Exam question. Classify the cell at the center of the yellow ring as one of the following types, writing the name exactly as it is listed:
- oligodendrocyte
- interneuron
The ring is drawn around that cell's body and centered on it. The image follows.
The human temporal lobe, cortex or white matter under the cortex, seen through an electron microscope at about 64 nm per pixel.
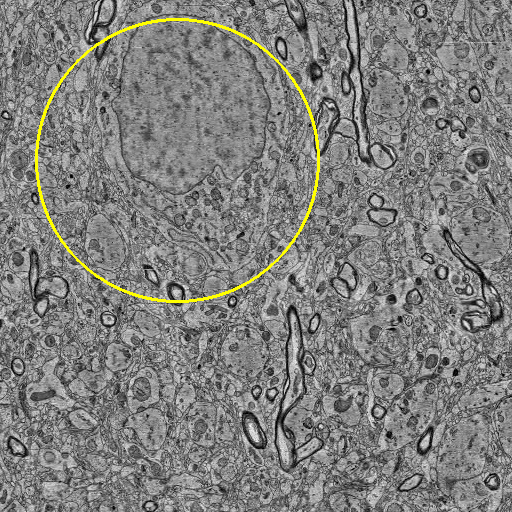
interneuron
